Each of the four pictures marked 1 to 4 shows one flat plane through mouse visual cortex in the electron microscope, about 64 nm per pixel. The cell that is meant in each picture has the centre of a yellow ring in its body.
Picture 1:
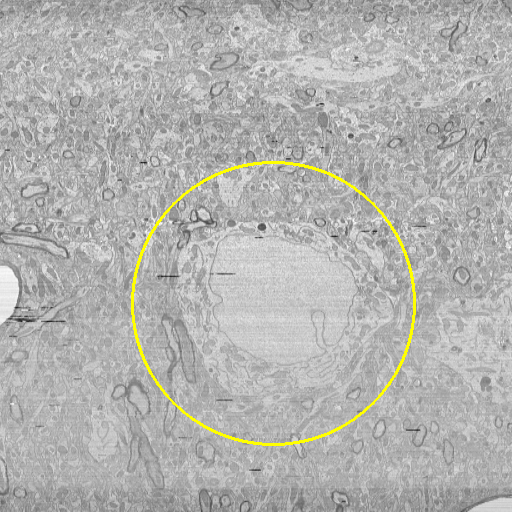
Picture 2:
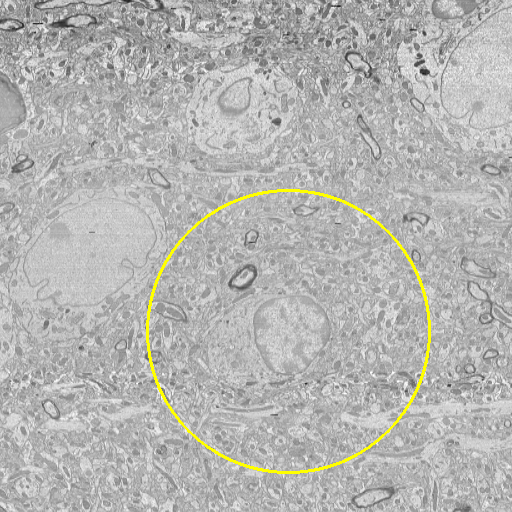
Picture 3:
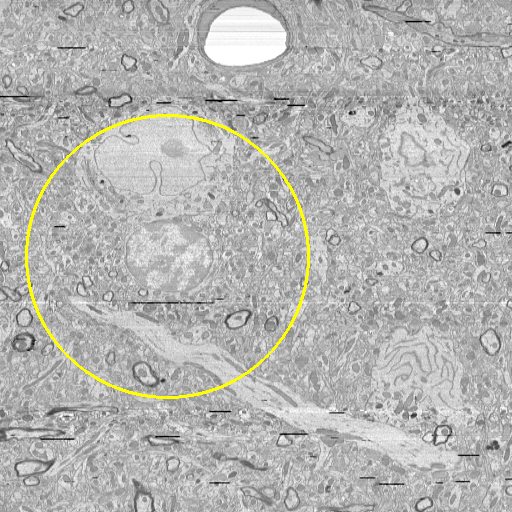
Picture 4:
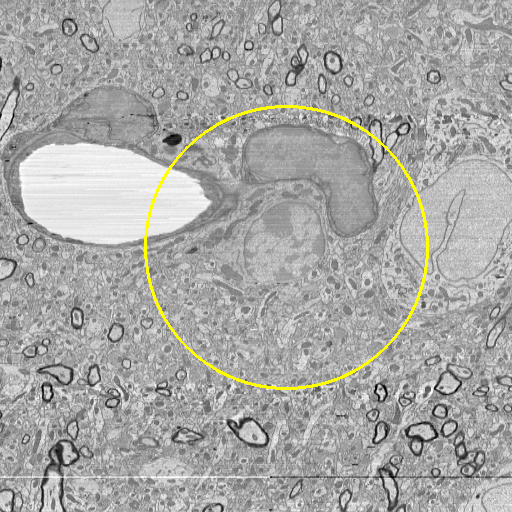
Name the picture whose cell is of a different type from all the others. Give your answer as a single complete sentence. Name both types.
Picture 1 differs, because its cell is an inhibitory neuron and the rest are oligodendrocytes.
